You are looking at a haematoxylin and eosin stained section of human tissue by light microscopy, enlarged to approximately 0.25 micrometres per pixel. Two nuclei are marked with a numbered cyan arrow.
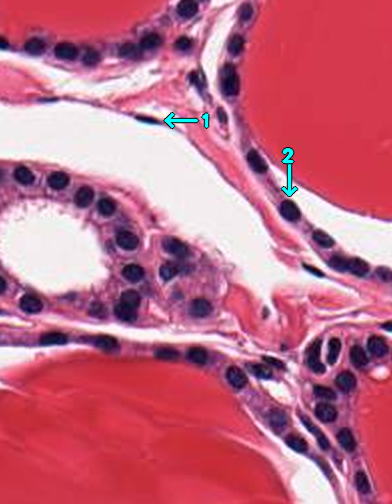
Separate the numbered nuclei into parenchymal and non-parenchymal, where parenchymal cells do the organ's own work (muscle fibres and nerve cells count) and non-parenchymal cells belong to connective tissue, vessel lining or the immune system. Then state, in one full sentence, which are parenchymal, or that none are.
The parenchymal cell among the marked ones is the cell of nucleus 2.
